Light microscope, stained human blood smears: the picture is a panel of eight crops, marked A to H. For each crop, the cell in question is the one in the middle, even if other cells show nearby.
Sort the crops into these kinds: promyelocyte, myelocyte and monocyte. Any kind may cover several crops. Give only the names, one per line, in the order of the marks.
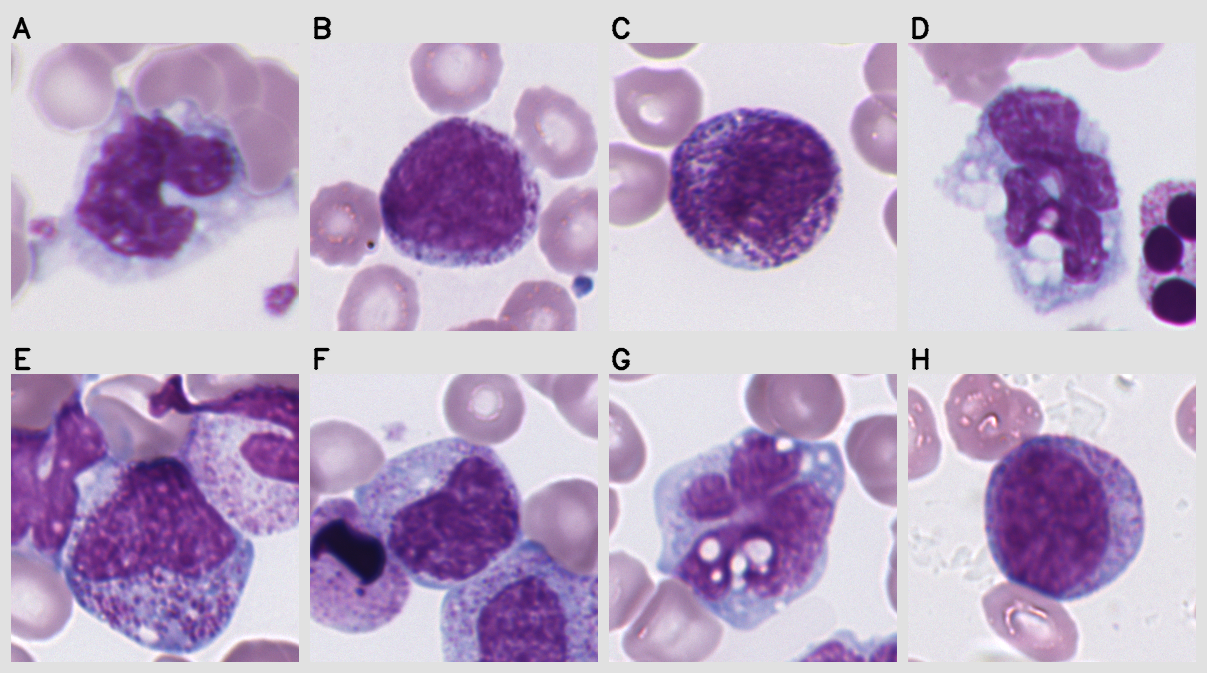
monocyte
myelocyte
myelocyte
monocyte
promyelocyte
promyelocyte
monocyte
promyelocyte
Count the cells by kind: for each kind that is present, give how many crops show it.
monocyte: 3
promyelocyte: 3
myelocyte: 2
